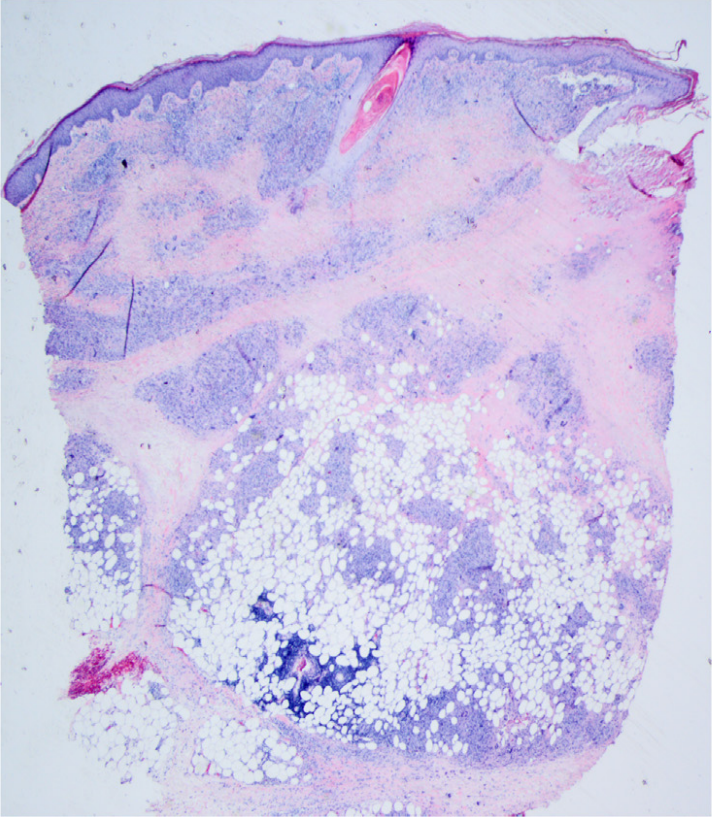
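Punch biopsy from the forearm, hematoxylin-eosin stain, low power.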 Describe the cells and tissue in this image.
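The epidermis forms a thin purple layer across the top. Beneath it, nodular and band-like purple cellular infiltrates are separated by pale pink collagen. In the lower half, the infiltrates lie among the clear, round fat cells of the subcutis.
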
